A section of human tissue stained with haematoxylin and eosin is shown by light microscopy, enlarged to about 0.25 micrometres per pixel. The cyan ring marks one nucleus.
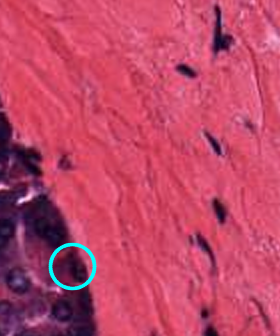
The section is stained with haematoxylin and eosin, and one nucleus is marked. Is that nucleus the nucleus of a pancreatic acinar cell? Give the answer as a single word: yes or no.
yes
